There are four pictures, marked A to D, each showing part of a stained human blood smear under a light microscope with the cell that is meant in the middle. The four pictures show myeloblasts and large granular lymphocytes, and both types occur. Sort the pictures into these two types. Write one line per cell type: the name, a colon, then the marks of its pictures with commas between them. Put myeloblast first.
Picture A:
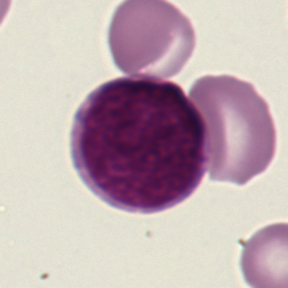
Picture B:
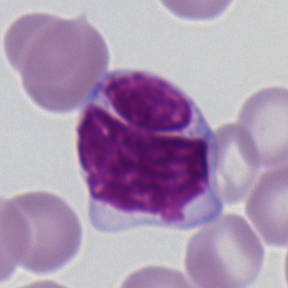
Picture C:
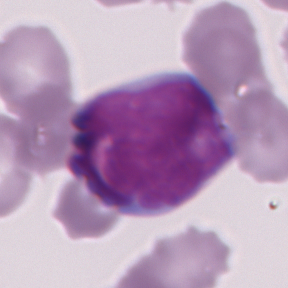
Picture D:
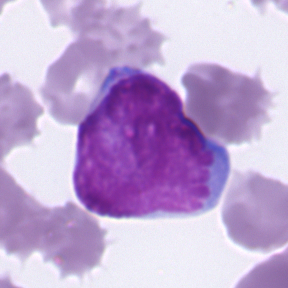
myeloblast: A, C, D
large granular lymphocyte: B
